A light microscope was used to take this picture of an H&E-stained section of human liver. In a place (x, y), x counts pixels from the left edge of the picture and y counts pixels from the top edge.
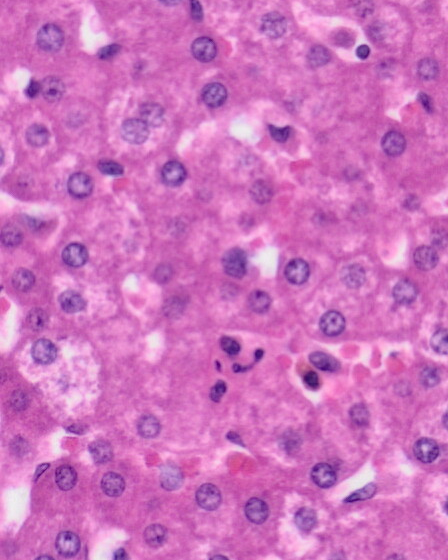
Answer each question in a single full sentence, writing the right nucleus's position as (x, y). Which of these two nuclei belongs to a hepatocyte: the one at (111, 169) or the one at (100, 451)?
Of the pair, the nucleus located at (100, 451) belongs to a hepatocyte.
